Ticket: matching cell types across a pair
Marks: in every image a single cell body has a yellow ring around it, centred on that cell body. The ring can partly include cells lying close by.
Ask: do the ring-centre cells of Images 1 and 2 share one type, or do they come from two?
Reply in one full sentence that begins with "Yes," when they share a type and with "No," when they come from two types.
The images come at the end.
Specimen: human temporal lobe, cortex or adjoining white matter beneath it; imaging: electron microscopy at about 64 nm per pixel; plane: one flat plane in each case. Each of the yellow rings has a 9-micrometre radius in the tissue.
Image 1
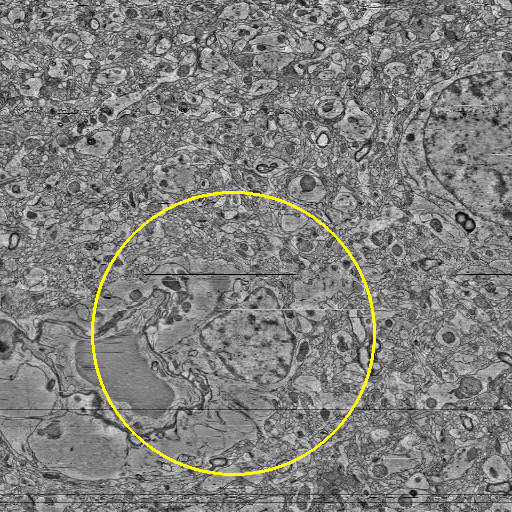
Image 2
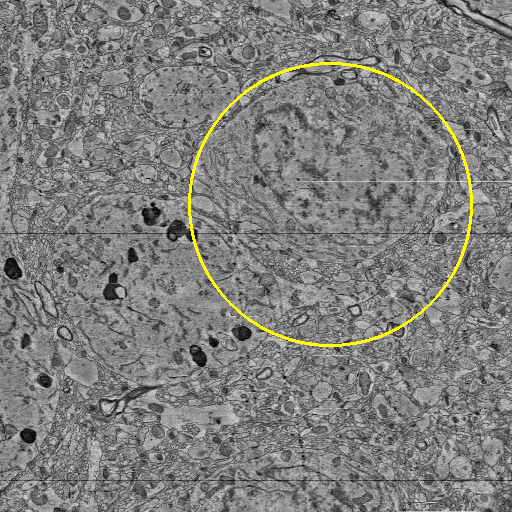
No, the cells in the centres of the rings in Image 1 and Image 2 come from two types.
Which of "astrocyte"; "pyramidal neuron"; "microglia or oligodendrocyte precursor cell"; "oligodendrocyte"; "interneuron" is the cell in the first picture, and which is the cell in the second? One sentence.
The two differ: the first cell is a microglial cell or oligodendrocyte precursor cell and the second is an interneuron.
